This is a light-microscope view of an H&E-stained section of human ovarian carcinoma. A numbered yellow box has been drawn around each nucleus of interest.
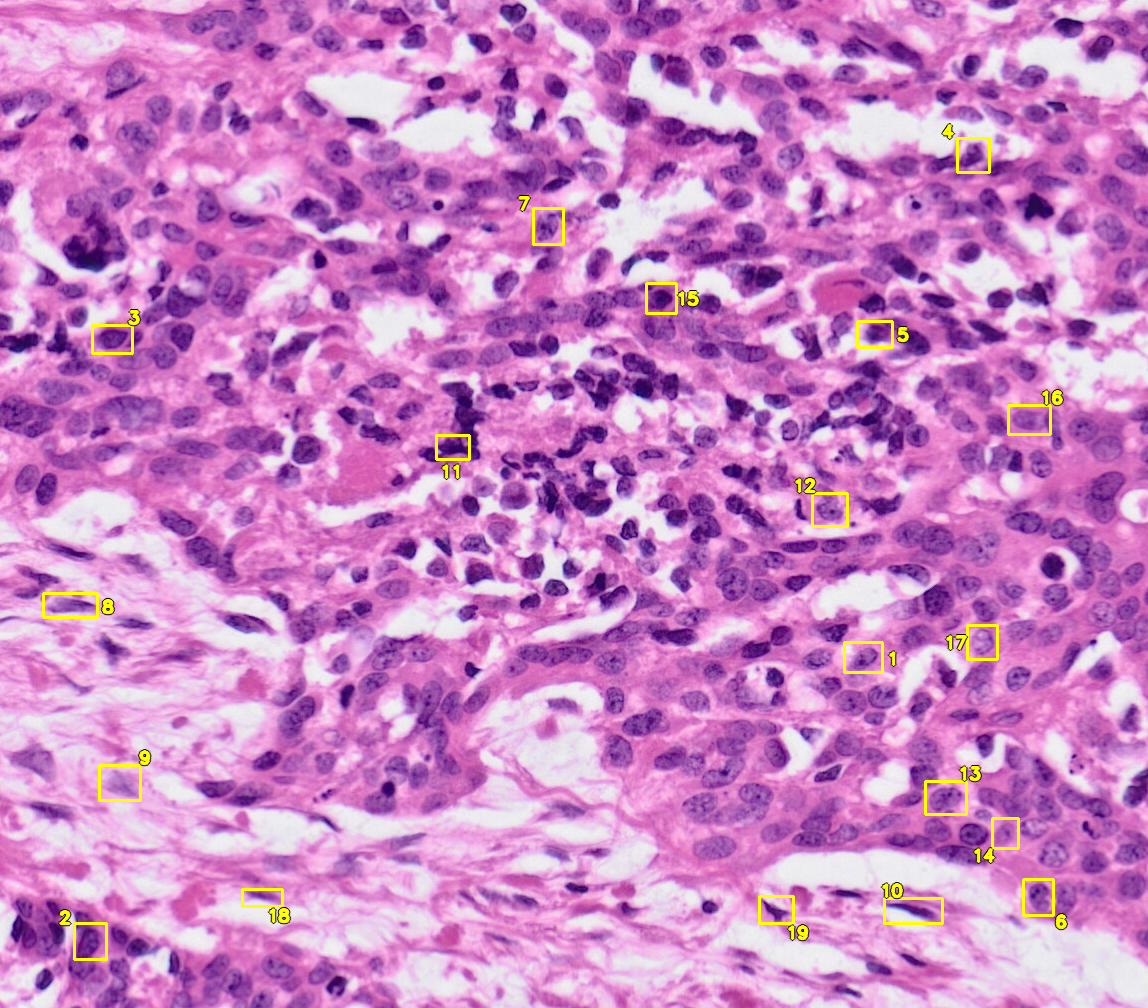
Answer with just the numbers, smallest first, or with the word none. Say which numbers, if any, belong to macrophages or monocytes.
1, 6, 7, 12, 13, 17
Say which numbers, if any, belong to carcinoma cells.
2, 3, 4, 5, 11, 14, 15, 16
